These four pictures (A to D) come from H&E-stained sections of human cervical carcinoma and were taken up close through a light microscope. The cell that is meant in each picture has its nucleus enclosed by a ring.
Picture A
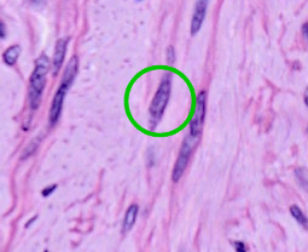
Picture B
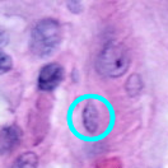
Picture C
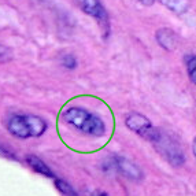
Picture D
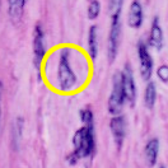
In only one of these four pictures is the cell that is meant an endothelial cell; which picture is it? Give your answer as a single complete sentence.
Picture B shows the endothelial cell.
